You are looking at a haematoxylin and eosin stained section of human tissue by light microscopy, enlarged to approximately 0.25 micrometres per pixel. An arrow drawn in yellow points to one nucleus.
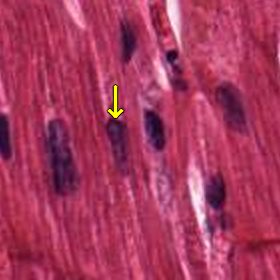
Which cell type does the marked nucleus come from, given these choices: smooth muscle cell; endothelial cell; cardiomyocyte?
cardiomyocyte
